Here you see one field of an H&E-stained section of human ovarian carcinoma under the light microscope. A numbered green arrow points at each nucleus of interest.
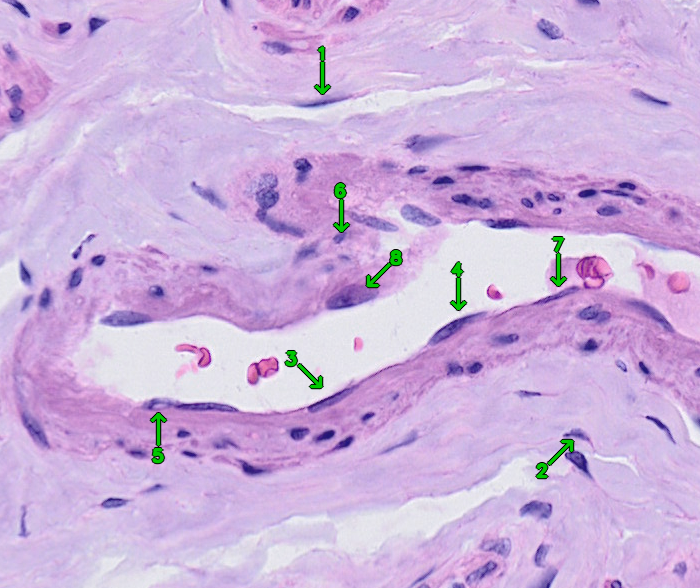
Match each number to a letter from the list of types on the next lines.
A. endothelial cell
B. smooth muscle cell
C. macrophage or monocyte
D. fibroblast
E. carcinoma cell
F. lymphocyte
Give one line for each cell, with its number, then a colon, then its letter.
1: D
2: D
3: A
4: A
5: A
6: B
7: A
8: A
